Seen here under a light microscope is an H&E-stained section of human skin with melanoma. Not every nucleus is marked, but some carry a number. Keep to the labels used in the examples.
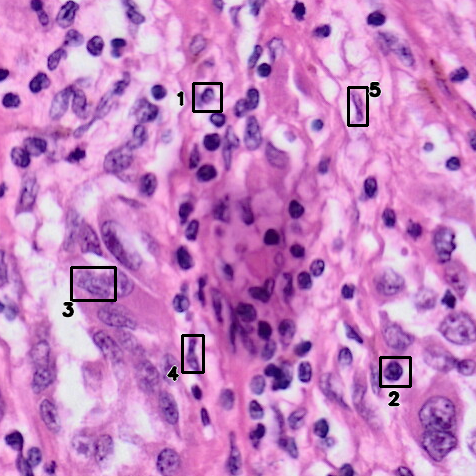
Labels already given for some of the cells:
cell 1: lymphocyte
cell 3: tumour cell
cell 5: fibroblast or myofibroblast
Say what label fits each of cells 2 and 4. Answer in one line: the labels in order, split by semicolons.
lymphocyte; fibroblast or myofibroblast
